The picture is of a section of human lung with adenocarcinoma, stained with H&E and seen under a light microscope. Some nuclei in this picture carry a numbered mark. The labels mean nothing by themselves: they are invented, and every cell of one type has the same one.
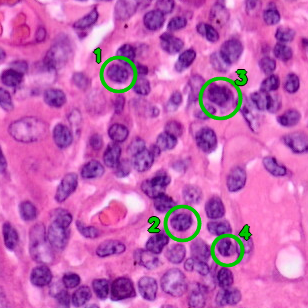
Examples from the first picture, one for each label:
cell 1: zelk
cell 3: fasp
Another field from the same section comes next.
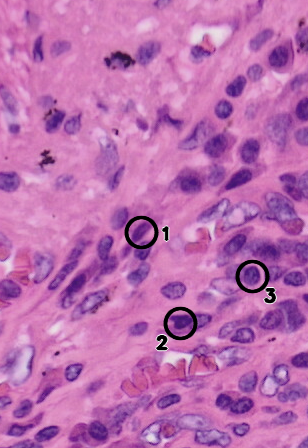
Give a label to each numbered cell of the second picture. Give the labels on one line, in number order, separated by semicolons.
fasp; fasp; zelk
